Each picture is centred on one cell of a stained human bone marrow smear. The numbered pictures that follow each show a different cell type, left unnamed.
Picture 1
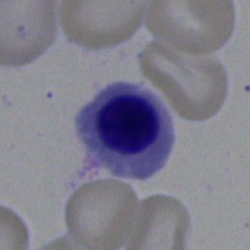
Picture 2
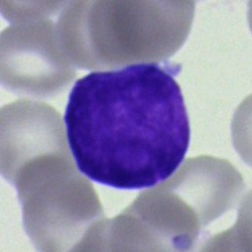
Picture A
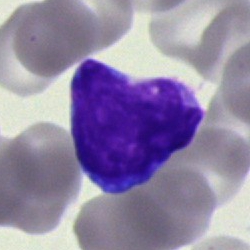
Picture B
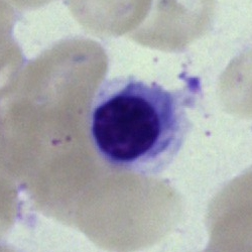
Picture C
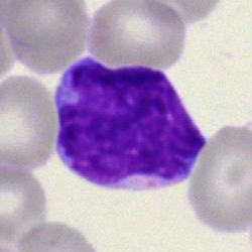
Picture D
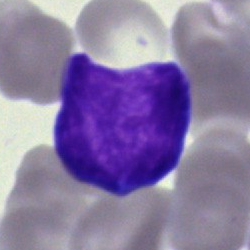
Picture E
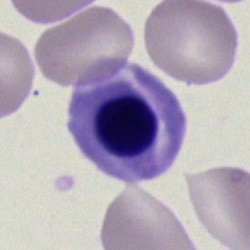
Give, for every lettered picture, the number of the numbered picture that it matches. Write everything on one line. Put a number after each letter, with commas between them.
A 2, B 1, C 2, D 2, E 1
